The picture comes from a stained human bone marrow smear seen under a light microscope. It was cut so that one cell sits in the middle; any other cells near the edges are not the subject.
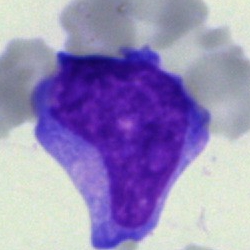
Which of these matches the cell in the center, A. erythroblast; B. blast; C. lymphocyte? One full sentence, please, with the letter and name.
It is a blast that occupies the centre of the crop, so option B is correct.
